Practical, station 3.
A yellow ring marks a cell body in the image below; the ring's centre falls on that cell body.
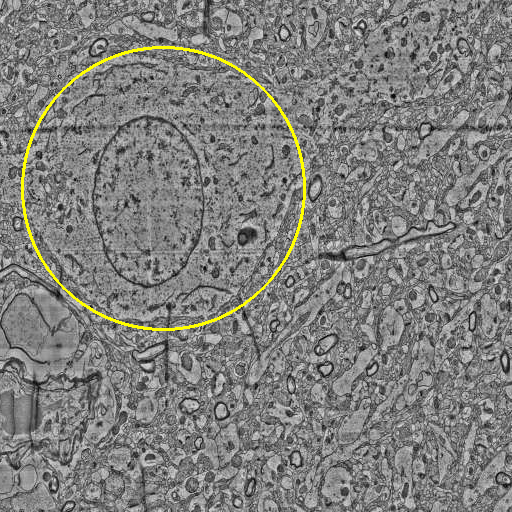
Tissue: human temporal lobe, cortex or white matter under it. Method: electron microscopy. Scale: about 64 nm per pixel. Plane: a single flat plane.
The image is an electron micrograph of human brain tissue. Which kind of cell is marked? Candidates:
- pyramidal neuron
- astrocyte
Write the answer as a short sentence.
The marked cell body is that of a pyramidal neuron.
